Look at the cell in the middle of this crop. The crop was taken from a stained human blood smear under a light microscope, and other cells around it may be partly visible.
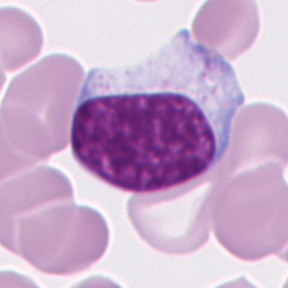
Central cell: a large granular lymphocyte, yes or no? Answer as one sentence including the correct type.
Yes, a large granular lymphocyte is the cell positioned in the middle of the field.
